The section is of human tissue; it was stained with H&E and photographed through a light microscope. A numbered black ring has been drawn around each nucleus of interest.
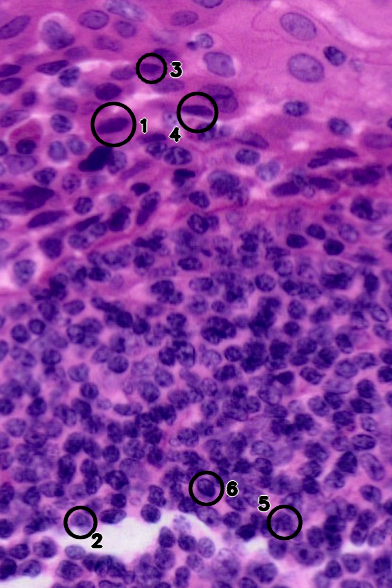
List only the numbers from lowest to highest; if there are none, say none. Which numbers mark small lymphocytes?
2, 5, 6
